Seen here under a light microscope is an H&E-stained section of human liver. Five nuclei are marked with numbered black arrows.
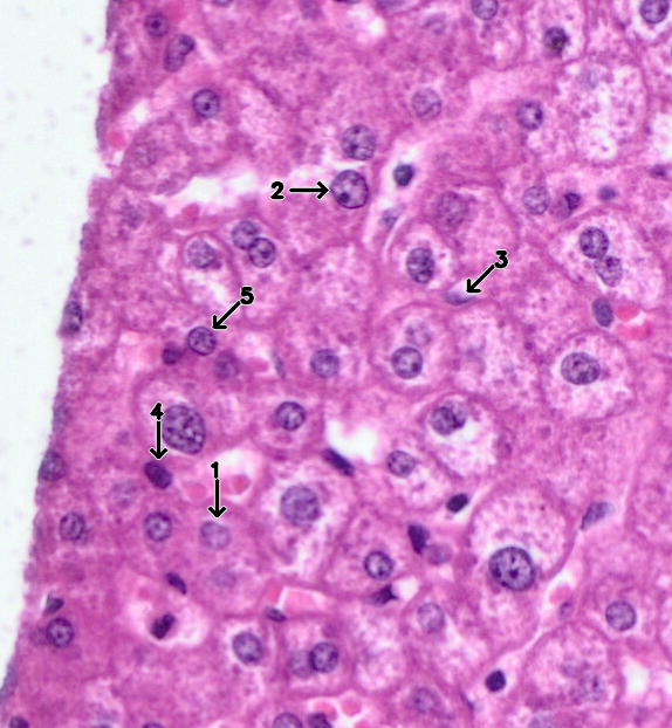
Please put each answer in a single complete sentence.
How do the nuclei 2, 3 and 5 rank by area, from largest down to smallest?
From largest to smallest, the order is 2, 5, 3.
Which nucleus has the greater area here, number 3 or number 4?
Nucleus 4 is the larger one, covering about 2 times the area of nucleus 3.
